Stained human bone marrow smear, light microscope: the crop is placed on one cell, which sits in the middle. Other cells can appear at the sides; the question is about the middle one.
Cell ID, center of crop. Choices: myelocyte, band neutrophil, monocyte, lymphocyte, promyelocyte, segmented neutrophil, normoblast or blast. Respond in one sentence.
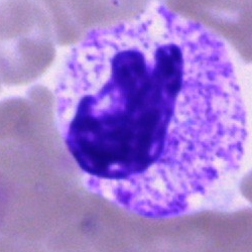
Answering briefly, the cell in the middle is a segmented neutrophil.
